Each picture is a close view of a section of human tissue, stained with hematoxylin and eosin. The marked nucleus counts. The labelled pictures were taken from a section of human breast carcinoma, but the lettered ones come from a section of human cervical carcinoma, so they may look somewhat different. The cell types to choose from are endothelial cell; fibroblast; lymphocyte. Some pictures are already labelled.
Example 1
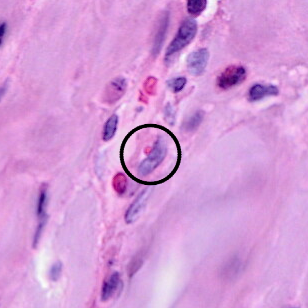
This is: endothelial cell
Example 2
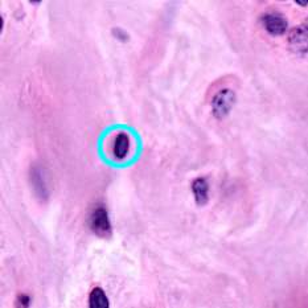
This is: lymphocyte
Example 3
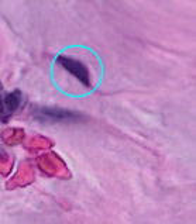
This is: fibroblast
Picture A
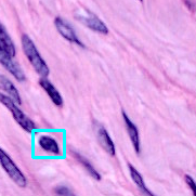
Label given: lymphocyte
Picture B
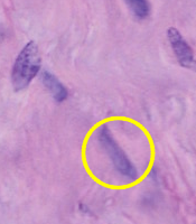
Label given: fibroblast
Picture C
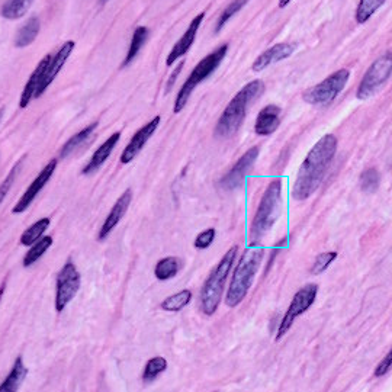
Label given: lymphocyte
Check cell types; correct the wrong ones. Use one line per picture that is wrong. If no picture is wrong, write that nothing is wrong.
C: change lymphocyte to endothelial cell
